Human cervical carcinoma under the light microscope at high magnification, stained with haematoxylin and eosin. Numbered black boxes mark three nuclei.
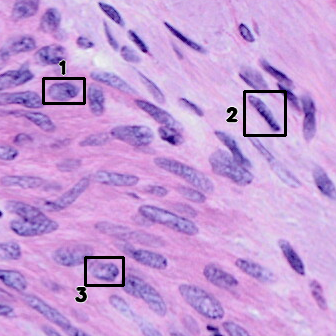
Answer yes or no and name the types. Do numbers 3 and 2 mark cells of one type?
No, sorry to say, cell 3 is a smooth muscle cell and cell 2 is a fibroblast.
